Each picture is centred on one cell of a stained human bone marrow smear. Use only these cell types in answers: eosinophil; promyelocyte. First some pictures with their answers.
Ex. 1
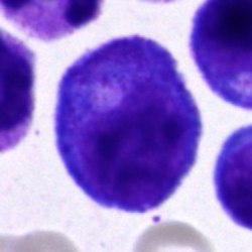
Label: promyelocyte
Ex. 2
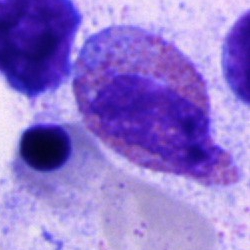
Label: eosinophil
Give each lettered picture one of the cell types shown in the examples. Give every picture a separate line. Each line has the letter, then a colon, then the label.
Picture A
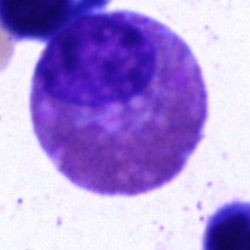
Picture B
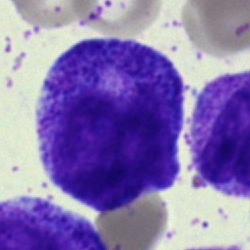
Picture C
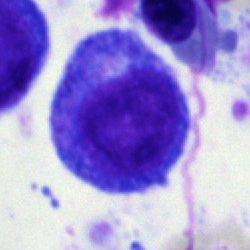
A: eosinophil
B: promyelocyte
C: promyelocyte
